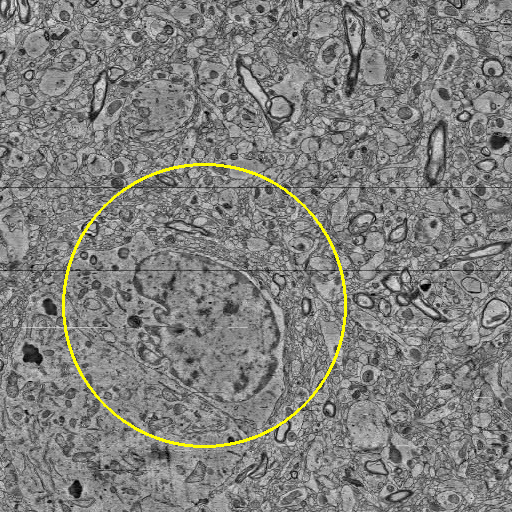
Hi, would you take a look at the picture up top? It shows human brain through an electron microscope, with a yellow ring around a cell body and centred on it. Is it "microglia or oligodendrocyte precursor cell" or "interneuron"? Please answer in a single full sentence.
The best fit for the cell in the middle of the ring is a microglial cell or oligodendrocyte precursor cell, I reckon.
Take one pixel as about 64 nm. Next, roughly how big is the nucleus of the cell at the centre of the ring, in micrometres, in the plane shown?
The nucleus of the ringed cell is approximately 11 by 8 micrometres in this plane.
